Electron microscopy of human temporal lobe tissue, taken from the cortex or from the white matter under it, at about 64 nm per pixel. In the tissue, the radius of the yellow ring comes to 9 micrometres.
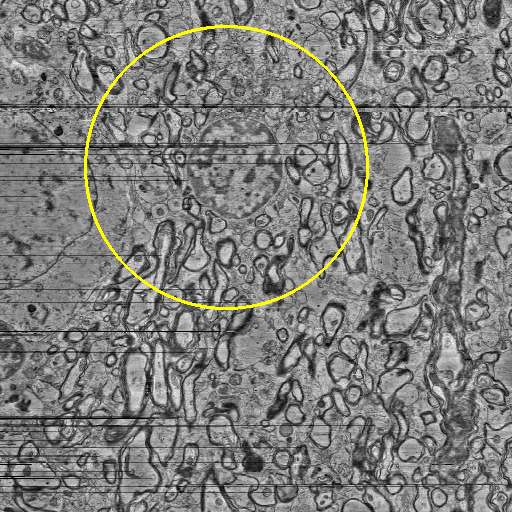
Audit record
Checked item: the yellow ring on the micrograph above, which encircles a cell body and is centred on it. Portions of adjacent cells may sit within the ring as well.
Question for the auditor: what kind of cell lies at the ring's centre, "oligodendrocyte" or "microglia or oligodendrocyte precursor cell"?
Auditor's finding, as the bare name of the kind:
oligodendrocyte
